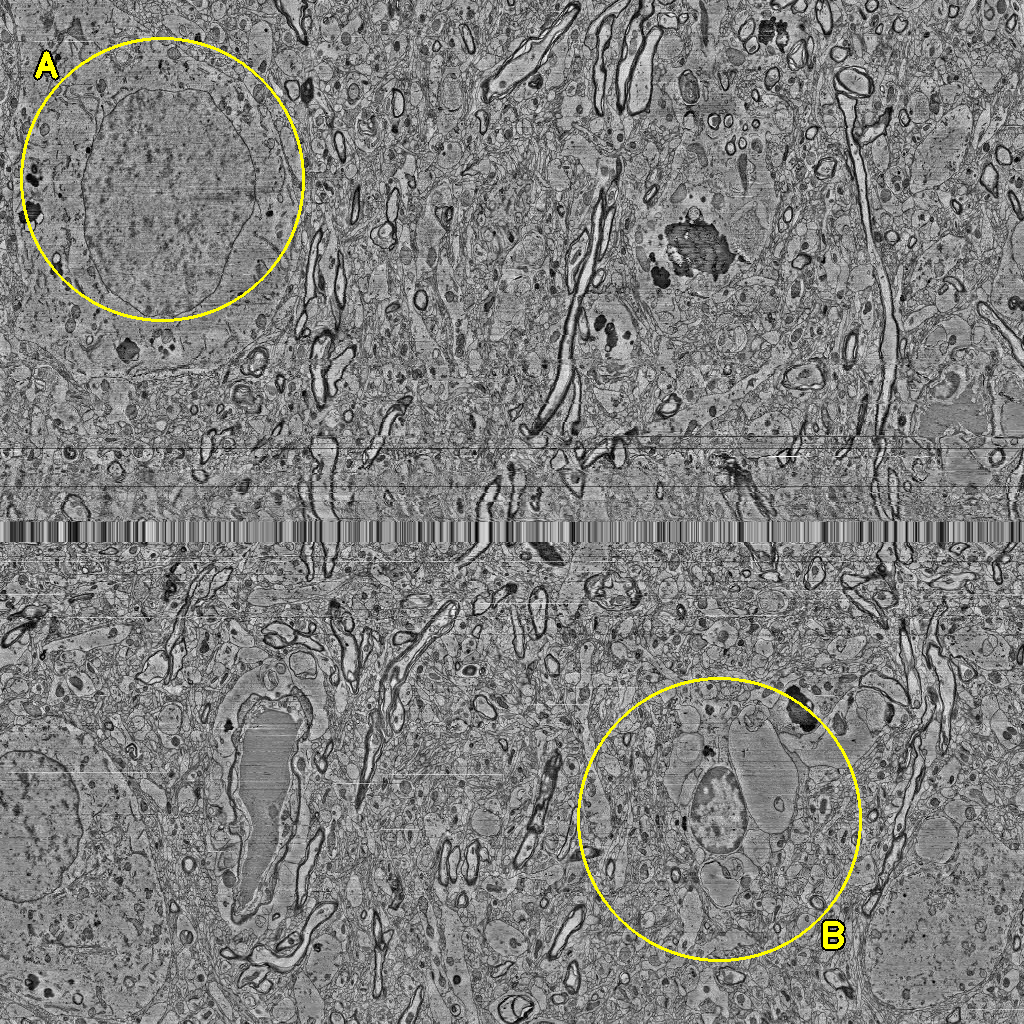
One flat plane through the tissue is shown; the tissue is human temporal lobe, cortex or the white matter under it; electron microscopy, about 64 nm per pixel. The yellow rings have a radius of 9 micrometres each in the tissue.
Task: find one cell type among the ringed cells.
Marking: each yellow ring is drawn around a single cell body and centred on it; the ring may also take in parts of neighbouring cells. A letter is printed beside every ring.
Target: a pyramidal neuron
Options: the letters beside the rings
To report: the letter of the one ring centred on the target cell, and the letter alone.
A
